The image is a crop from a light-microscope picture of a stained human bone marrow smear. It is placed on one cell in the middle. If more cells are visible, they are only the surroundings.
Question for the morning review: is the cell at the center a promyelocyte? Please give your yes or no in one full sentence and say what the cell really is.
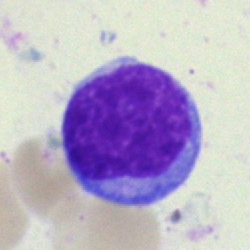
No, in this crop the middle cell is a blast, not a promyelocyte.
